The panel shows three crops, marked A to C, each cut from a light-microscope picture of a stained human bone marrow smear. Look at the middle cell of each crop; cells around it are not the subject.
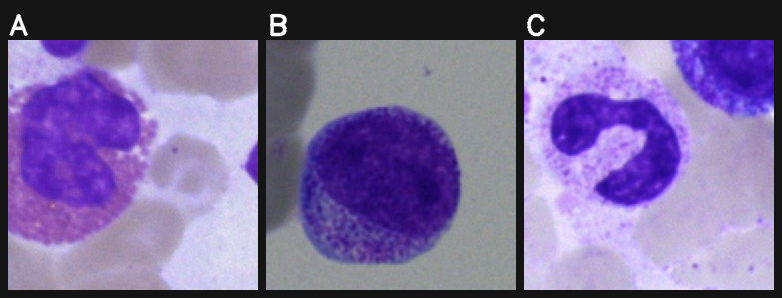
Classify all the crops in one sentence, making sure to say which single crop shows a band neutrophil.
The cell occupying crop C is a band neutrophil, whereas crop A is an eosinophil and crop B is a promyelocyte.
